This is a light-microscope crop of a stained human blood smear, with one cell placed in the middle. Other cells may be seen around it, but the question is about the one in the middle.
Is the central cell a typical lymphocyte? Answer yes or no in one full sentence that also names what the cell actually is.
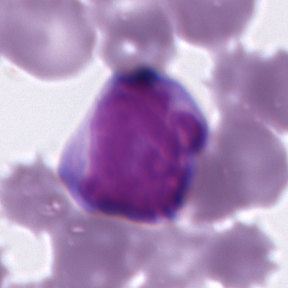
No, not a typical lymphocyte here; the centered cell is a myeloblast.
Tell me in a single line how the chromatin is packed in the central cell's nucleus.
Its chromatin is finely dispersed rather than coarsely clumped.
